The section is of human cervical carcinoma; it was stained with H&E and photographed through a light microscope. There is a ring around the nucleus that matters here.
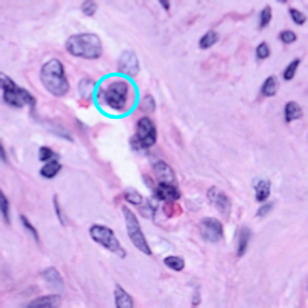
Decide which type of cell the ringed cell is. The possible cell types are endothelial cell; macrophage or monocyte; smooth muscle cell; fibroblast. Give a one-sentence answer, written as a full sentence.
In this tissue section, the ringed cell is to be classed as an endothelial cell.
